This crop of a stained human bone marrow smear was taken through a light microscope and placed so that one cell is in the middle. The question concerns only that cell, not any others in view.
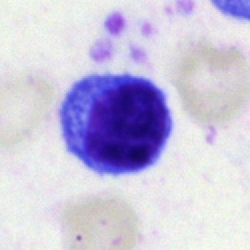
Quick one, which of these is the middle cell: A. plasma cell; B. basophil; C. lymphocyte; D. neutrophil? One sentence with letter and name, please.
The one cell at the centre is a lymphocyte, as correctly stated in option C.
